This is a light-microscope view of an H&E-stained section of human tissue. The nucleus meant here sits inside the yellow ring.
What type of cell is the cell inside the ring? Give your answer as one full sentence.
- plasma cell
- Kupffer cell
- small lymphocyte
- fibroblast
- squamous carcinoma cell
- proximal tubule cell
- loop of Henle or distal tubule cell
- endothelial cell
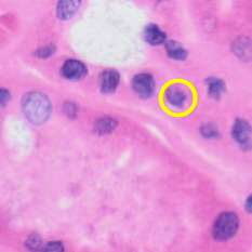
The identity of the cell inside the ring is that of a loop of Henle or distal tubule cell.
